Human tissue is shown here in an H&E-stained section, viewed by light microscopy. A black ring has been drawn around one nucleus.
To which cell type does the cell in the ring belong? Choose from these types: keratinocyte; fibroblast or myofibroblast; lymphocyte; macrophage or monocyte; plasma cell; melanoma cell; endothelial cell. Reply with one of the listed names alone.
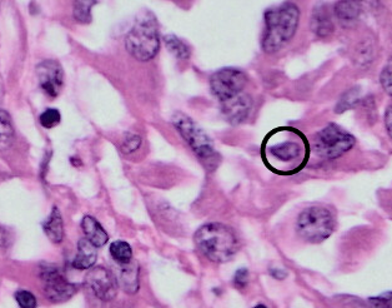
melanoma cell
